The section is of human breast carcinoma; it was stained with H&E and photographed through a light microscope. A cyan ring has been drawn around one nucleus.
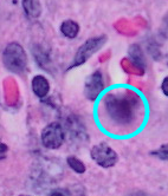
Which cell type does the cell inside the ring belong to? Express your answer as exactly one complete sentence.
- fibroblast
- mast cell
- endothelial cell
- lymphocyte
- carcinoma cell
Typologically, the cell inside the ring is an endothelial cell in this section.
